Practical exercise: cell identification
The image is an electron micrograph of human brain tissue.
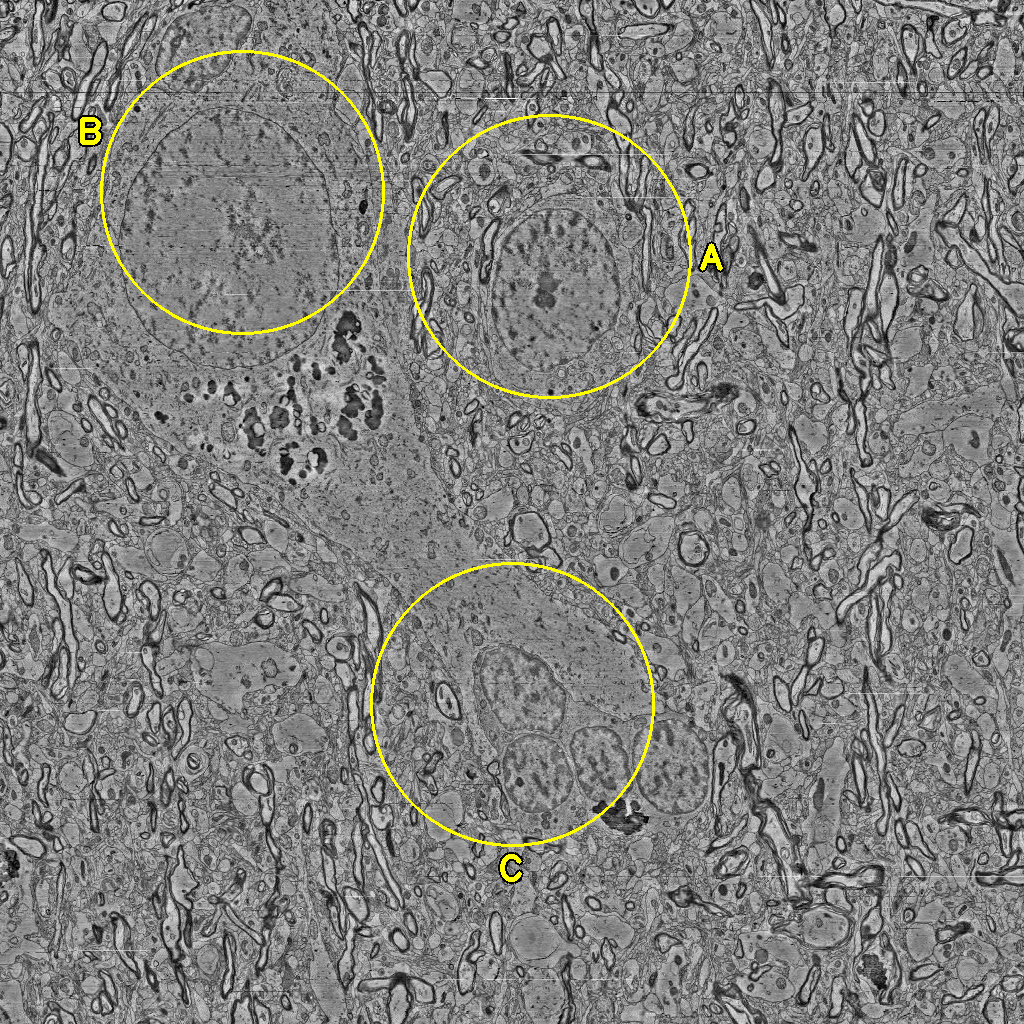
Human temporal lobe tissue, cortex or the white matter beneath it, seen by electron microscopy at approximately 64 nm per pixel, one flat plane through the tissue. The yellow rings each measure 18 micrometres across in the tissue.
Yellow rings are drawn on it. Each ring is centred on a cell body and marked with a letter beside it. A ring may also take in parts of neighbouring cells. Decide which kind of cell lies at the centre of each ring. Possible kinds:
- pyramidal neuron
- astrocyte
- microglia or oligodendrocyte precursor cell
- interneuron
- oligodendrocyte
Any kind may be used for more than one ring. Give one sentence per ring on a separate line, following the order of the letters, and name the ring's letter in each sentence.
The cell in the middle of ring A is an interneuron.
The cell in the middle of ring B is a pyramidal neuron.
The cell in the middle of ring C is an oligodendrocyte.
